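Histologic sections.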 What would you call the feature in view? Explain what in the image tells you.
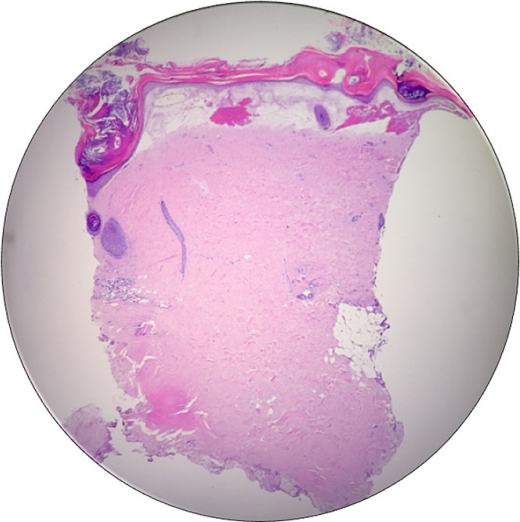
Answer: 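Nearly the whole depth is made of uniform pale pink dermis. On this evidence: squared-off biopsy specimen.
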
